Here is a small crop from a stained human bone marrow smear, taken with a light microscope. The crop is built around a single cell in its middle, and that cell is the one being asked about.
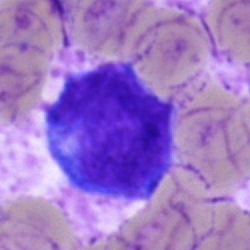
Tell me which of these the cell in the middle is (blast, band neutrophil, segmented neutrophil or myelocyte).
blast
